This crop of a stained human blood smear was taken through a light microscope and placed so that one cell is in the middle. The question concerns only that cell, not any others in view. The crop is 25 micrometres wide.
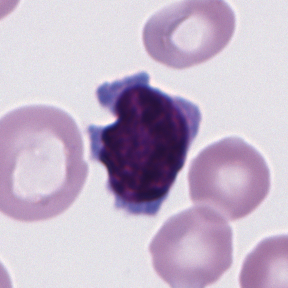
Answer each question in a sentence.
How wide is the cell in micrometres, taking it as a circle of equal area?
The diameter of the cell comes to about 10 micrometres.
